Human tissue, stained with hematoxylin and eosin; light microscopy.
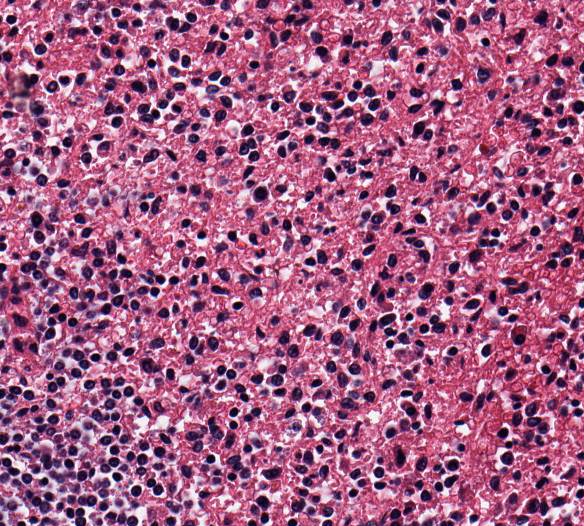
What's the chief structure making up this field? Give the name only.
red pulp of the spleen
